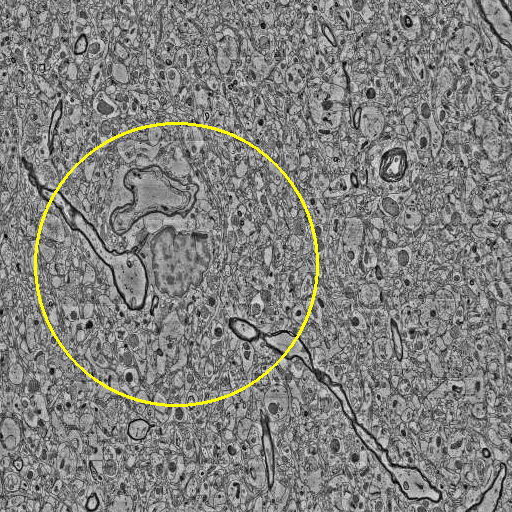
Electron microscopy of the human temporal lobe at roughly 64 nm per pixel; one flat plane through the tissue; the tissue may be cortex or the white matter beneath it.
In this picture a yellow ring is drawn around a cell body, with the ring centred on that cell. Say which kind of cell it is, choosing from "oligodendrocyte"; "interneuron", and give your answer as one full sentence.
Here it is an oligodendrocyte that sits at the centre of the drawn yellow ring.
